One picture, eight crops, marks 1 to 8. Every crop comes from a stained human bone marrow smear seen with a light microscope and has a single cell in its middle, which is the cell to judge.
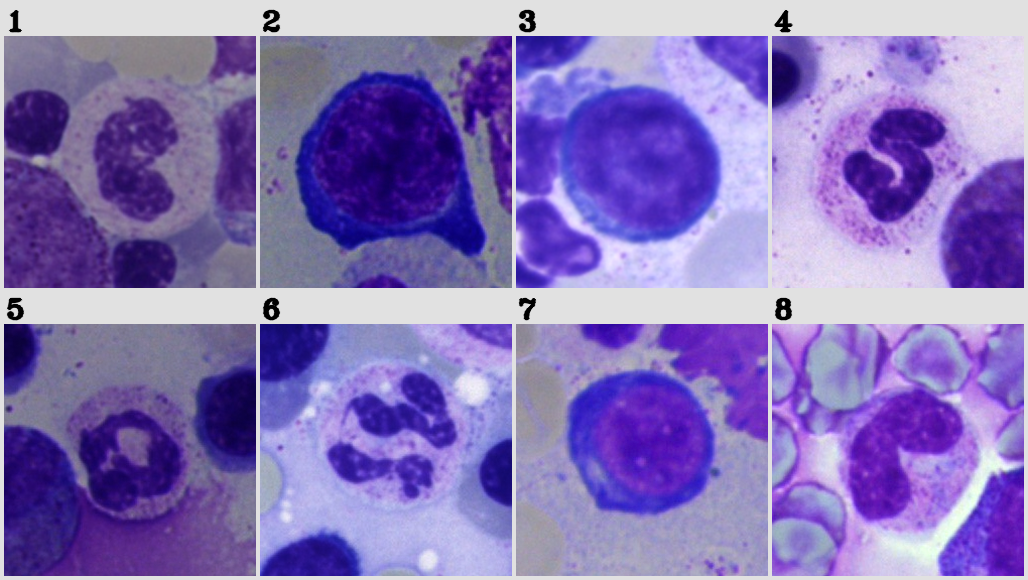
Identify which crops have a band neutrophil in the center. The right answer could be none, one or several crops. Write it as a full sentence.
Every crop except crop 8 lacks a band neutrophil.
